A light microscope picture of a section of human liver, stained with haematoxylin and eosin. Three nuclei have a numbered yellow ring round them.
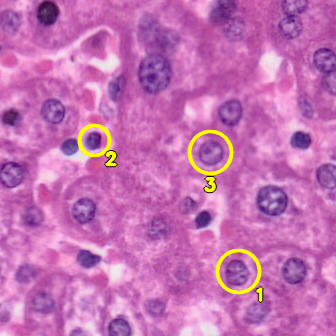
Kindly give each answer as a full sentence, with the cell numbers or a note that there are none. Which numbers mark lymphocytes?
Of all the numbered cells, only cell 2 is a lymphocyte.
